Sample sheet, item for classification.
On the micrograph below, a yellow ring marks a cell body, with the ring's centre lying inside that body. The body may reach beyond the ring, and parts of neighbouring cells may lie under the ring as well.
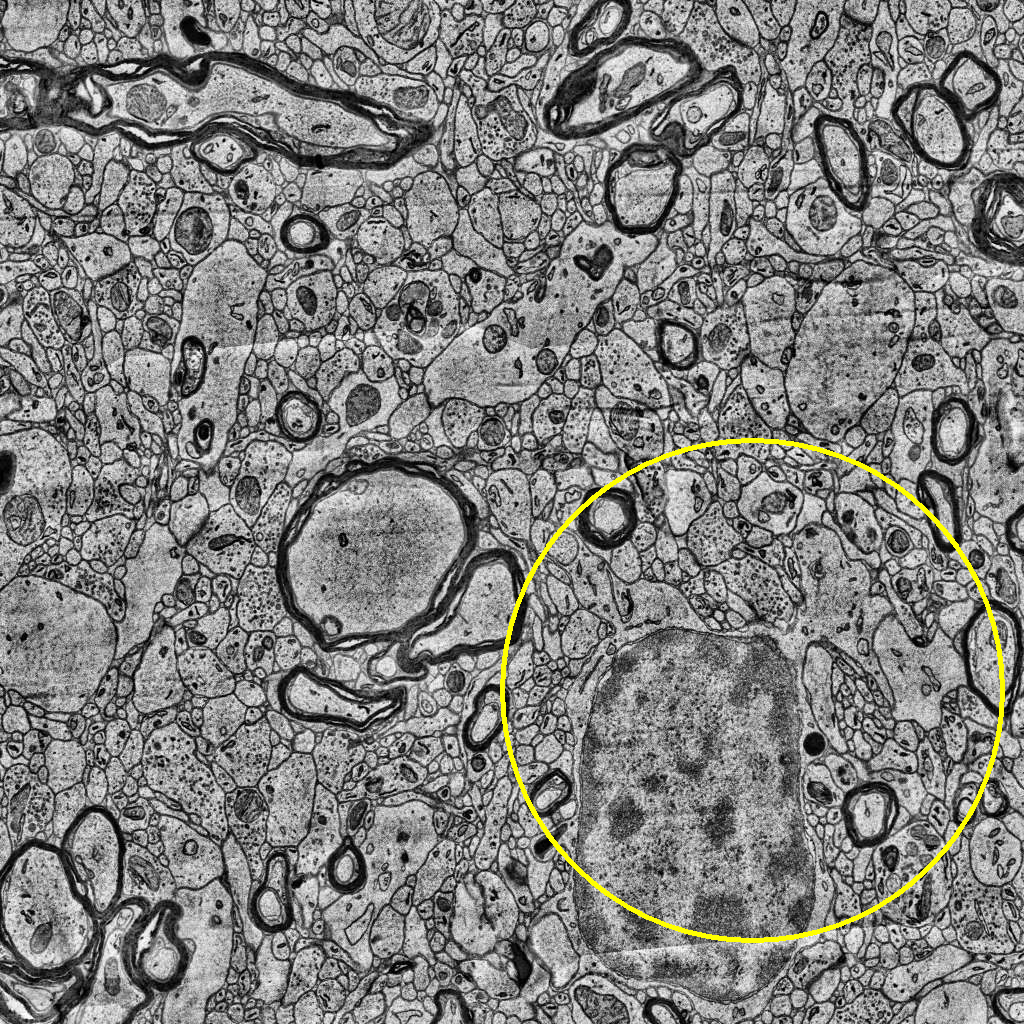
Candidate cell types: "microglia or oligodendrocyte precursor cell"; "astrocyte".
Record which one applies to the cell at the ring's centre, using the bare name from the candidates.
microglia or oligodendrocyte precursor cell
